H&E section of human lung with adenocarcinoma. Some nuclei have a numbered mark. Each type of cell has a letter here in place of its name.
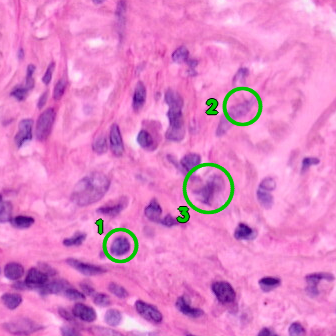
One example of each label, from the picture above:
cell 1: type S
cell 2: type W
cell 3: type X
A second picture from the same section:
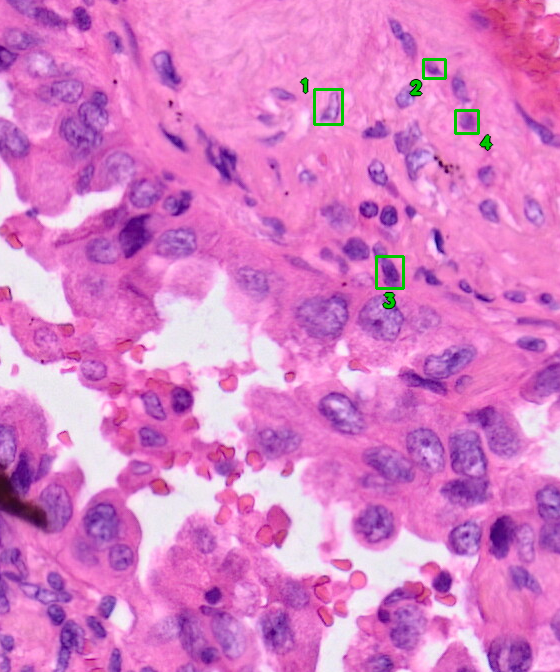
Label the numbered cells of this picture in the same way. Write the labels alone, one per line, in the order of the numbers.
type X
type W
type S
type W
